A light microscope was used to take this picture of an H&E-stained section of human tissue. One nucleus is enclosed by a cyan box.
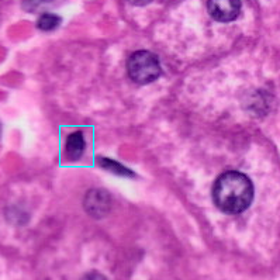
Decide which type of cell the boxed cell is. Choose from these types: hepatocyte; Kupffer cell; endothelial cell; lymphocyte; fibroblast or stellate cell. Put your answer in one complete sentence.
The expected answer is simply that the boxed cell is a fibroblast or stellate cell.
